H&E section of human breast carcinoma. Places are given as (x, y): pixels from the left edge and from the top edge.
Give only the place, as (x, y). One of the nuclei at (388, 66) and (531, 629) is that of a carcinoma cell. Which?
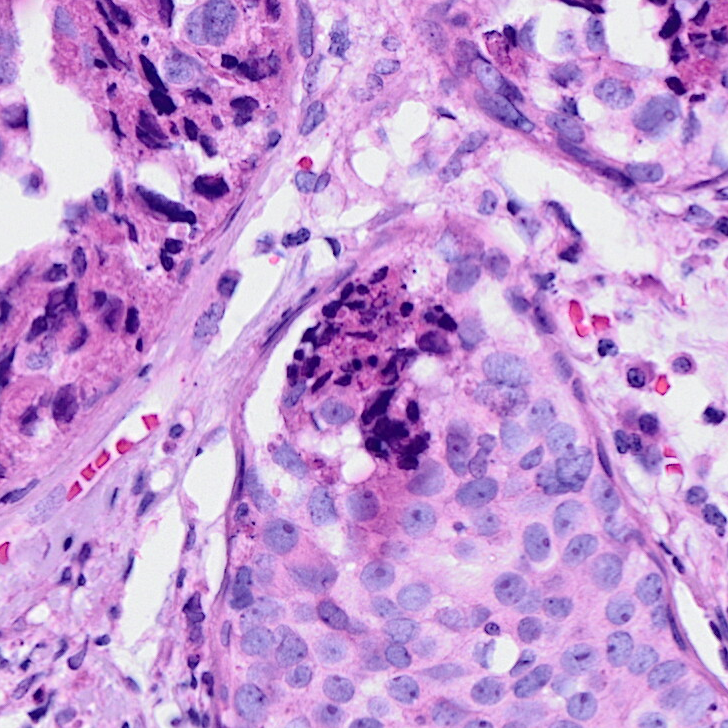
(531, 629)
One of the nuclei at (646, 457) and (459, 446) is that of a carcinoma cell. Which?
(459, 446)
